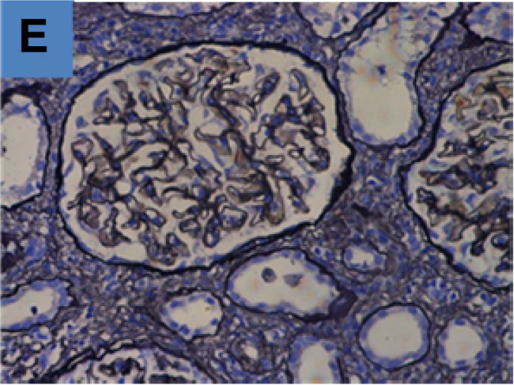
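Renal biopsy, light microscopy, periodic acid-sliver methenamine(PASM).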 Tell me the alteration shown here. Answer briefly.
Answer: Diffuse thickening of the glomerular basement membrane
